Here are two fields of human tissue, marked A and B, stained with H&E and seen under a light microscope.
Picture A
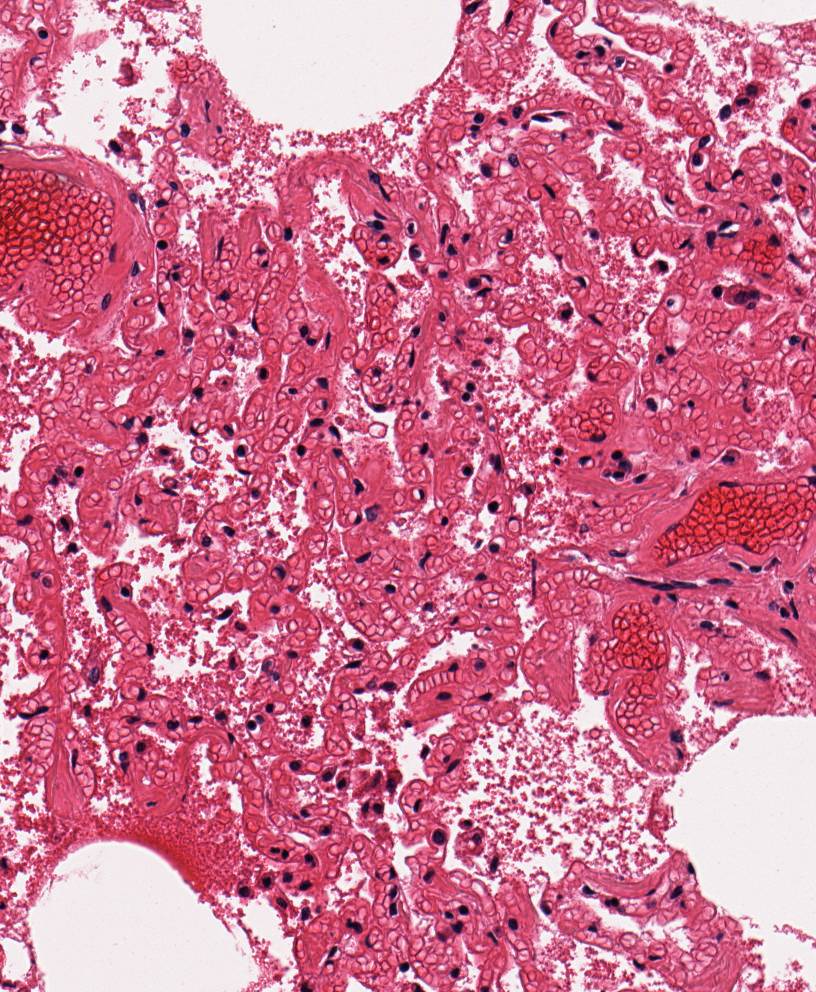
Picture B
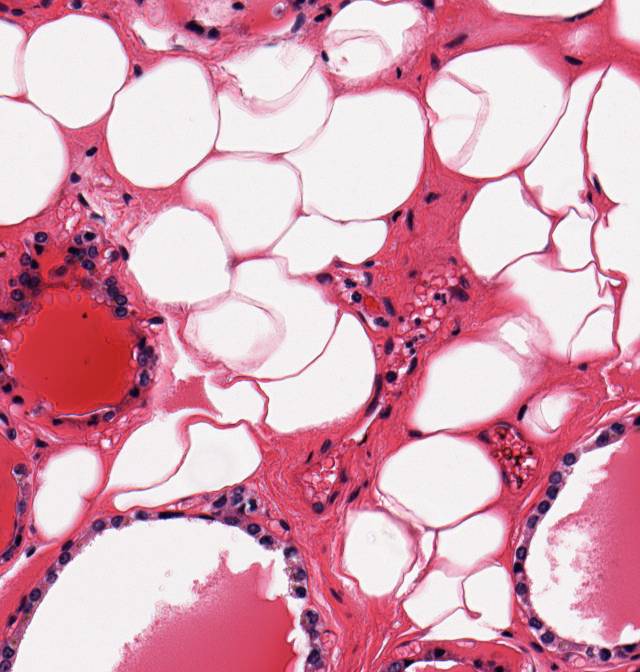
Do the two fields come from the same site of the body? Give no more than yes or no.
no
